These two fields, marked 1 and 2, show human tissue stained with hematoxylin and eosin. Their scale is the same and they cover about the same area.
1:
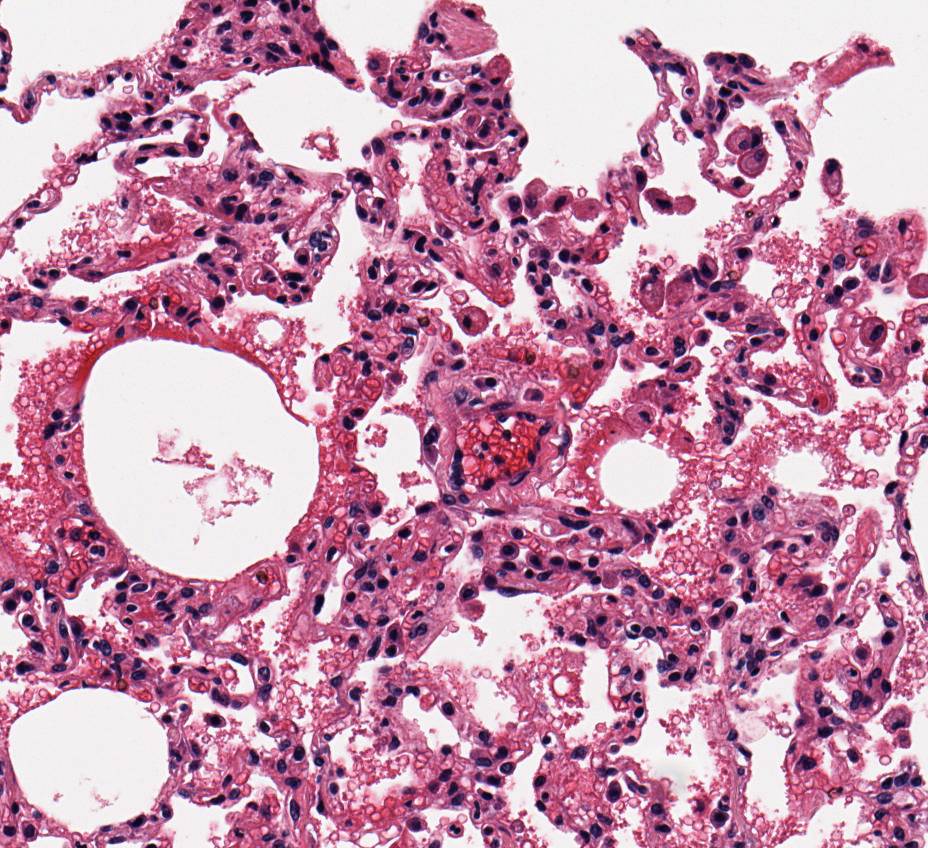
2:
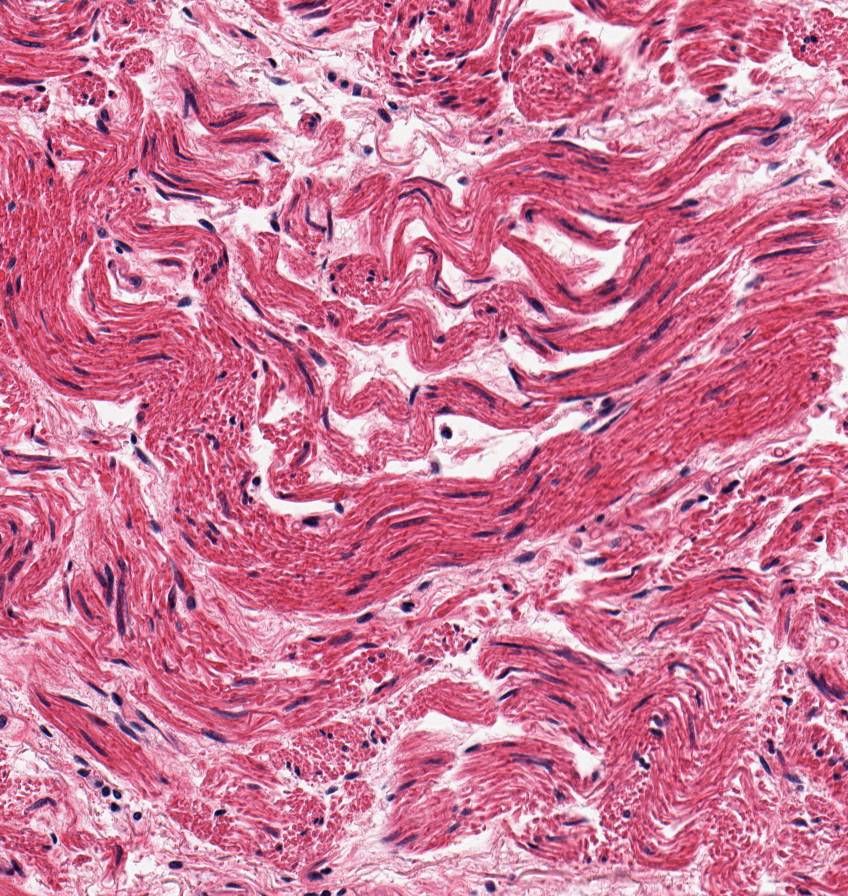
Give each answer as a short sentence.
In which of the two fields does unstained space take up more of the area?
More of field 1 is empty and white.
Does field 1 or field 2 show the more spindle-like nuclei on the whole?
It is field 2 whose nuclei are the more elongated.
